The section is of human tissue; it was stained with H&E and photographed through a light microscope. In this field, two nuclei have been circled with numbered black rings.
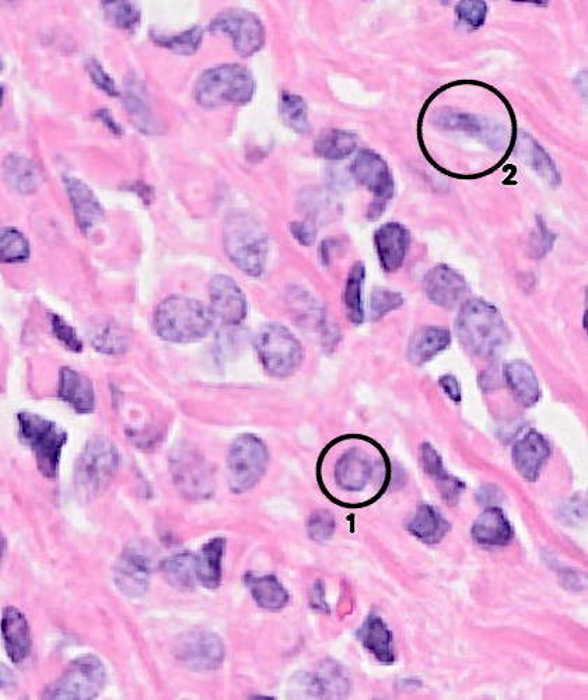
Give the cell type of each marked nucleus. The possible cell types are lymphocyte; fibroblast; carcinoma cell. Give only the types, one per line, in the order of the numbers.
carcinoma cell
fibroblast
